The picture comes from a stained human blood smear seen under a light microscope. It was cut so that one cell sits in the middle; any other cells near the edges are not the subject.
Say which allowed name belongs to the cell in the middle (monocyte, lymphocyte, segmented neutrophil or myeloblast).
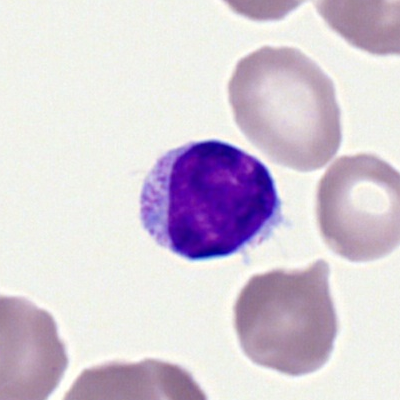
lymphocyte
